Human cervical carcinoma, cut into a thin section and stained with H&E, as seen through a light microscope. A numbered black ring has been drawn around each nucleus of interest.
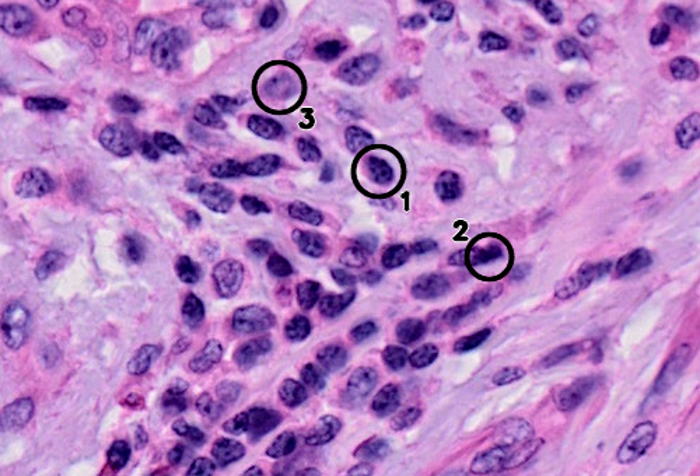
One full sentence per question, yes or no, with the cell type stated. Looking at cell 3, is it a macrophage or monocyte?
Yes, the cell numbered 3 in this tissue is a macrophage or monocyte.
